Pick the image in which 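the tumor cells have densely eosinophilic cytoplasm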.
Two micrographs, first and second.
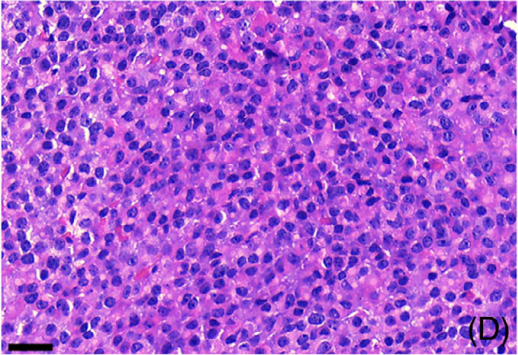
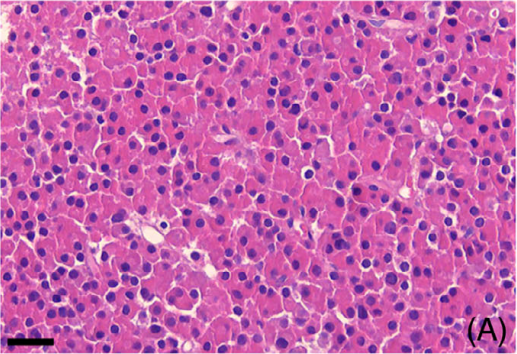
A: the second image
